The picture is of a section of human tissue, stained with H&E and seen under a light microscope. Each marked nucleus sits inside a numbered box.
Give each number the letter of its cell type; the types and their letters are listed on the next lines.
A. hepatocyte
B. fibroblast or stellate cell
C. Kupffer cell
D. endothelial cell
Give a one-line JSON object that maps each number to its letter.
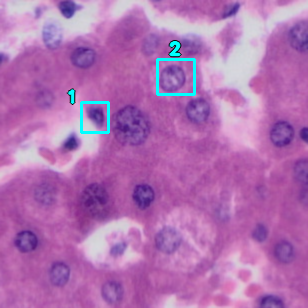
{"1": "B", "2": "A"}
